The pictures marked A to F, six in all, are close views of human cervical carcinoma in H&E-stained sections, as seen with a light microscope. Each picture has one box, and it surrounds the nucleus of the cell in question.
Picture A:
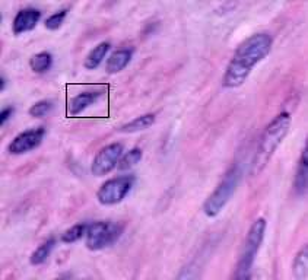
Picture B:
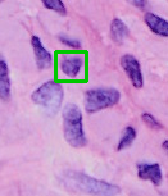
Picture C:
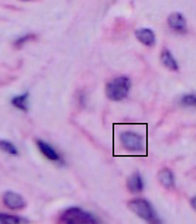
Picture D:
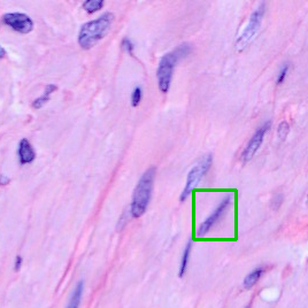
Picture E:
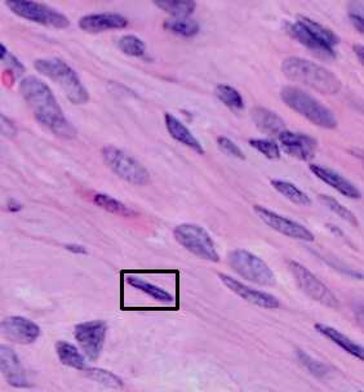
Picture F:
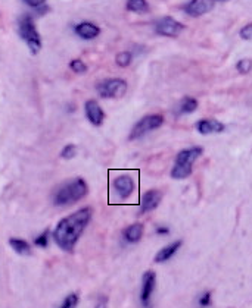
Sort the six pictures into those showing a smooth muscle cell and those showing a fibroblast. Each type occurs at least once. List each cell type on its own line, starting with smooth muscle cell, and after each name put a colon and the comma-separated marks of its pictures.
smooth muscle cell: A, C, F
fibroblast: B, D, E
